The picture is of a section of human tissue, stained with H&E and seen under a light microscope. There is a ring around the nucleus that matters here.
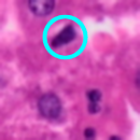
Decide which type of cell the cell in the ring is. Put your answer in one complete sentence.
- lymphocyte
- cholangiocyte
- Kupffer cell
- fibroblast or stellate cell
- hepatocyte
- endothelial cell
The cell meant here is a fibroblast or stellate cell.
